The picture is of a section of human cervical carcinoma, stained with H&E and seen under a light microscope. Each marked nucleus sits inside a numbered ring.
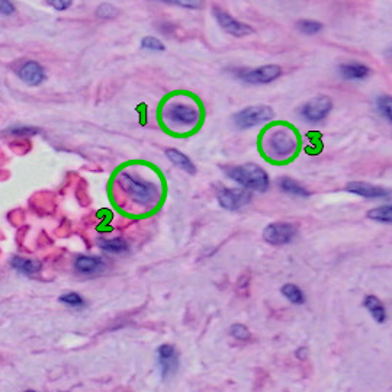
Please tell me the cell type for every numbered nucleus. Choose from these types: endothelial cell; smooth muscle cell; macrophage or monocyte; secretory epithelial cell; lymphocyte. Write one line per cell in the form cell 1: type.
cell 1: smooth muscle cell
cell 2: endothelial cell
cell 3: smooth muscle cell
